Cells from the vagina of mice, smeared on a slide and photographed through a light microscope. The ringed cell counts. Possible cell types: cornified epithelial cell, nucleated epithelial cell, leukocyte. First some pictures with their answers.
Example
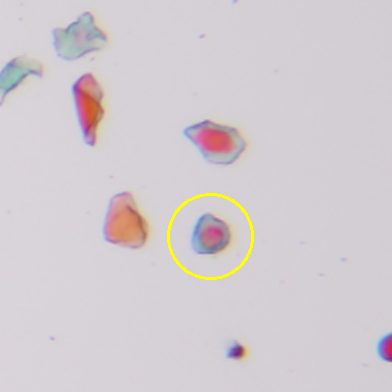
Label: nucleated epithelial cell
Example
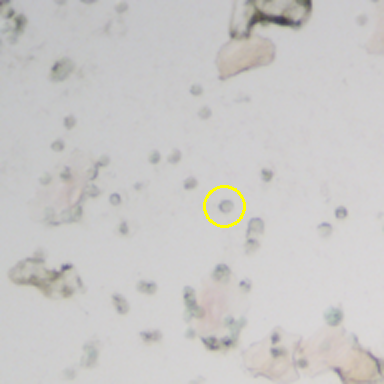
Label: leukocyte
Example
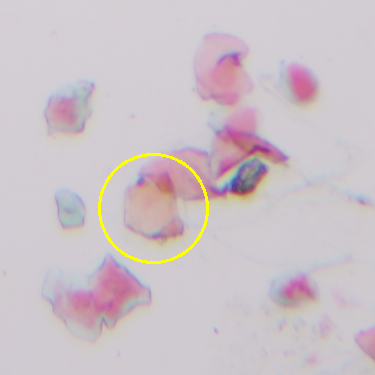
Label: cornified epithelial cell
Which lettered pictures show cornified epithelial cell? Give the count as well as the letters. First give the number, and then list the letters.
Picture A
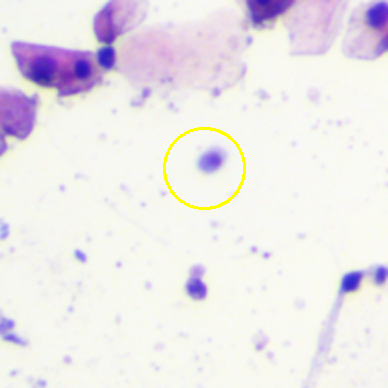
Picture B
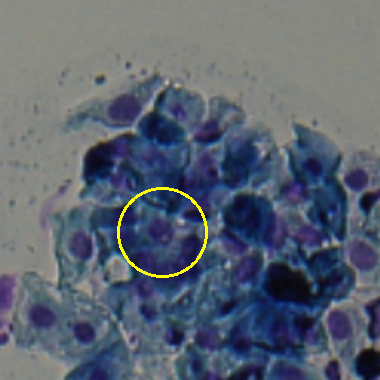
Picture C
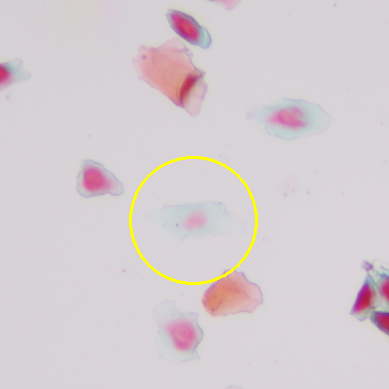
0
